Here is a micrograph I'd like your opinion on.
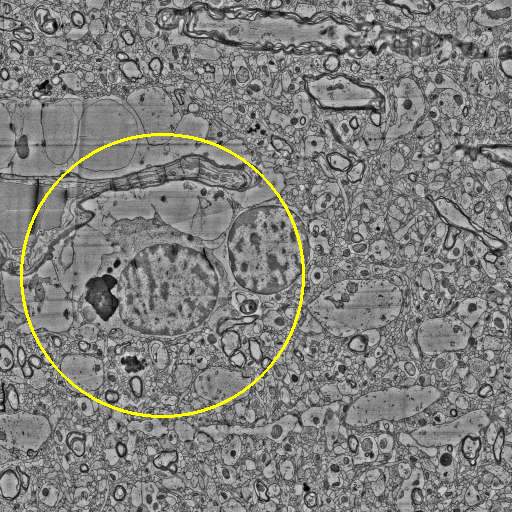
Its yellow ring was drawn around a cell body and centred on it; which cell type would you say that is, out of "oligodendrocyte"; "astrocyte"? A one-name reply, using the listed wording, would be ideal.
oligodendrocyte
